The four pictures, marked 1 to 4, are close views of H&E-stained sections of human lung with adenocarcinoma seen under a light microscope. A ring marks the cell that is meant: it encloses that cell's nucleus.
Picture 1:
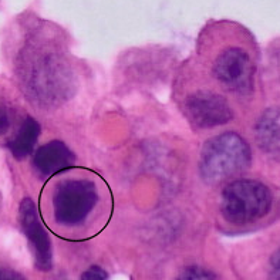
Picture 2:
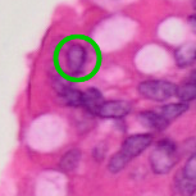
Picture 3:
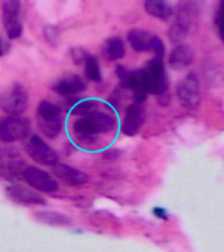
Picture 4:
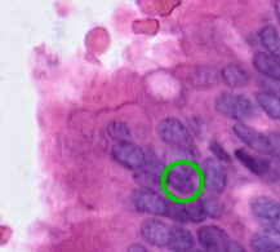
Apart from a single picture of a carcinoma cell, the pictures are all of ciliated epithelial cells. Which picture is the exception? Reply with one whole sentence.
Picture 1 shows the carcinoma cell.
